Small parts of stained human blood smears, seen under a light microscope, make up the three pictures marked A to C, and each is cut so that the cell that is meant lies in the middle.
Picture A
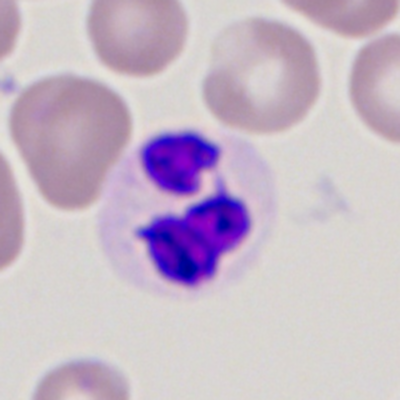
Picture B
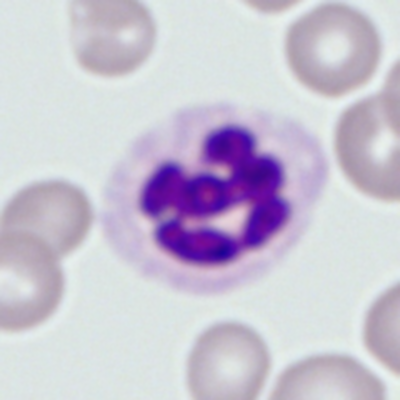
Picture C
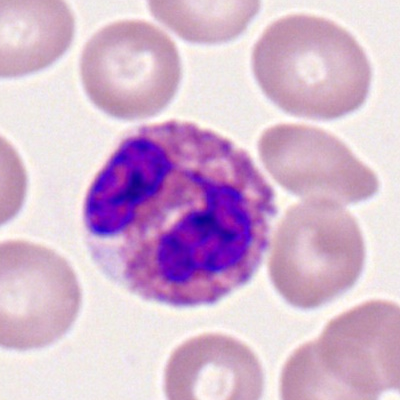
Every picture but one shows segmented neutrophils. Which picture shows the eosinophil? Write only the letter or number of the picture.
C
